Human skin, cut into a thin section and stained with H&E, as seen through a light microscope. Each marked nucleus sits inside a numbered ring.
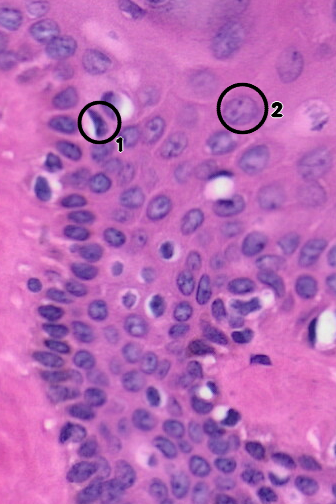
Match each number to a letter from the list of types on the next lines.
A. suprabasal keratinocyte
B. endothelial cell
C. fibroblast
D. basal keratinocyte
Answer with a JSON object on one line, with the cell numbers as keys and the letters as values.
{"1": "D", "2": "A"}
